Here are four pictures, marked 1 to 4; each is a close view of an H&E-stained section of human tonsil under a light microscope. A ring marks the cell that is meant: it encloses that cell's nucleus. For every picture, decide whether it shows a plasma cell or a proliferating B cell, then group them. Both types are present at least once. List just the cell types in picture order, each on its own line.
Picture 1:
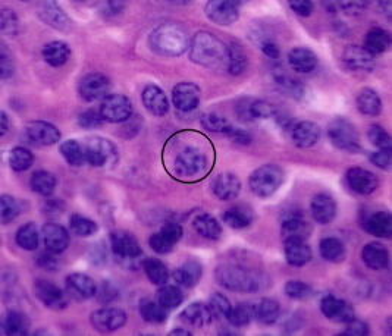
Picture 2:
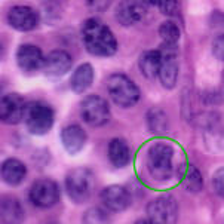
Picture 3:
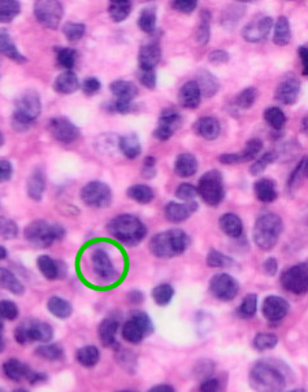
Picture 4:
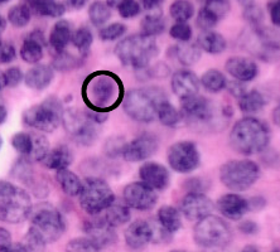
plasma cell
plasma cell
proliferating B cell
proliferating B cell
